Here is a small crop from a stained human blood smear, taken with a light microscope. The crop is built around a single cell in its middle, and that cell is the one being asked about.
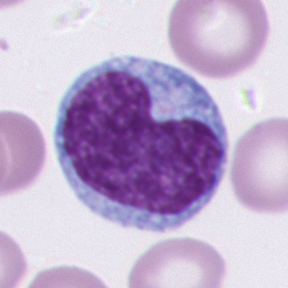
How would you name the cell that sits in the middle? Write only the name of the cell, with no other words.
monocyte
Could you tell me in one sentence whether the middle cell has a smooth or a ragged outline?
Worth noting that the cell border is smooth and lacks projections.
